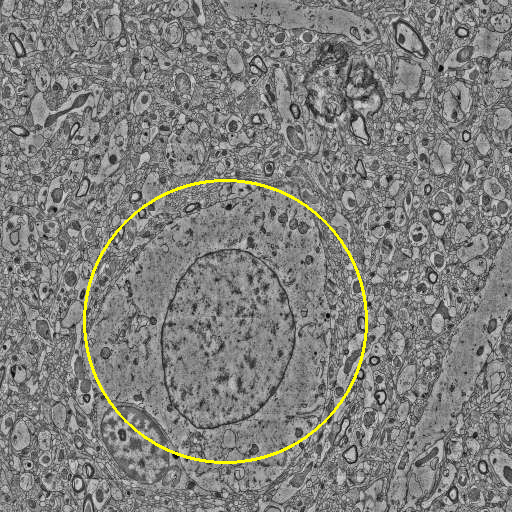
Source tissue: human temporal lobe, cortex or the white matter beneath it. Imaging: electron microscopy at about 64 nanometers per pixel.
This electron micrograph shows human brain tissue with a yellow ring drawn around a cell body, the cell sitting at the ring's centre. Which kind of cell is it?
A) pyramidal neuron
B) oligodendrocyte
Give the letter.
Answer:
A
